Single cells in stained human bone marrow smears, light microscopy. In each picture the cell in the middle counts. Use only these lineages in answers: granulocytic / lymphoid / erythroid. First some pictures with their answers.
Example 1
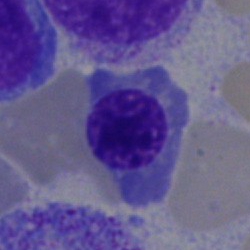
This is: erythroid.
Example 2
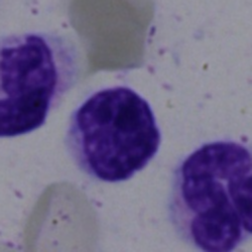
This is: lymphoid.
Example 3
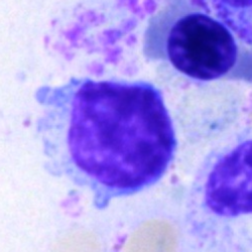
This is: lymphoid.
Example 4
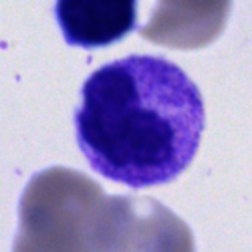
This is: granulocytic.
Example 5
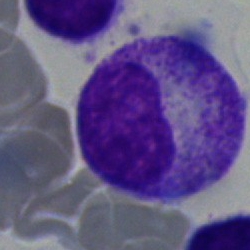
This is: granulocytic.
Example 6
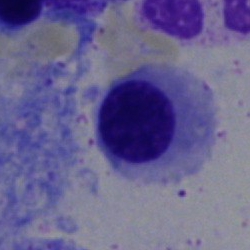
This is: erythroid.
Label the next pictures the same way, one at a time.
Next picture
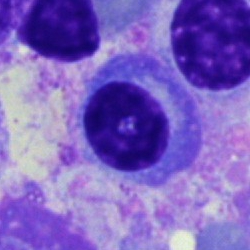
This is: lymphoid.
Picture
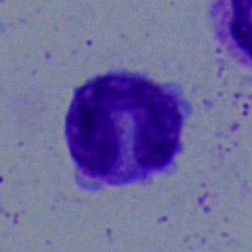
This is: granulocytic.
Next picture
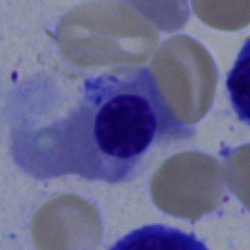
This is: erythroid.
